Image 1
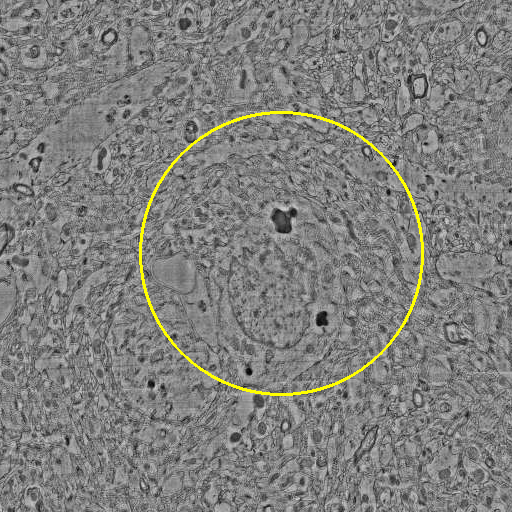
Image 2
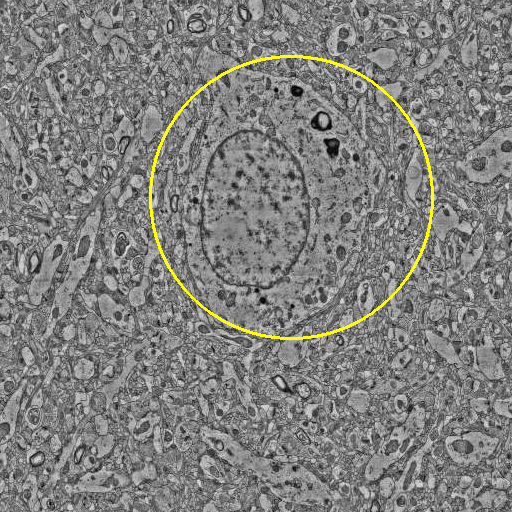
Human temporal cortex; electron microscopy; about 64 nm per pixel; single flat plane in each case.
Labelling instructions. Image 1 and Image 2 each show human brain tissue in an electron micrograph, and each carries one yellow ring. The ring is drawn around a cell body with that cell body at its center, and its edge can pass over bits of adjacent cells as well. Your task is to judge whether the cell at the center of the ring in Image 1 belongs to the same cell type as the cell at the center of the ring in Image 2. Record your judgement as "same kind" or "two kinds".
two kinds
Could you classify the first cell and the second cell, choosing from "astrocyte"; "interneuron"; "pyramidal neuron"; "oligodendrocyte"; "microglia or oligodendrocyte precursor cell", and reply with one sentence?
The second cell is a pyramidal neuron, while the first is an interneuron.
